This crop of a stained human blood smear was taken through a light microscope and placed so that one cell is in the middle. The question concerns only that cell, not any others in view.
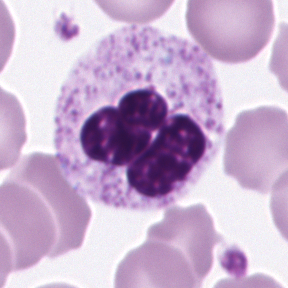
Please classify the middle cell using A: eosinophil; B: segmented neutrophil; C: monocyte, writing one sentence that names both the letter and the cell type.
The one cell at the centre is a segmented neutrophil, as correctly stated in option B.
